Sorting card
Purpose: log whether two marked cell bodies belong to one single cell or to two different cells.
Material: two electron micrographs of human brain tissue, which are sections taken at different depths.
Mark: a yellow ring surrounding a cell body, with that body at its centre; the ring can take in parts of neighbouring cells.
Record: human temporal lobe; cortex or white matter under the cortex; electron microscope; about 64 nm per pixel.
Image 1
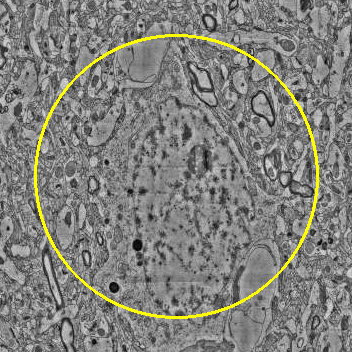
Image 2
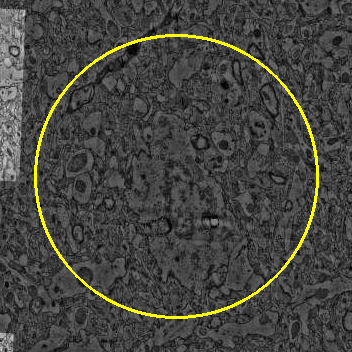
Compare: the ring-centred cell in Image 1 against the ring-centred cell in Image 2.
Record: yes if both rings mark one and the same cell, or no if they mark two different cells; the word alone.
yes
